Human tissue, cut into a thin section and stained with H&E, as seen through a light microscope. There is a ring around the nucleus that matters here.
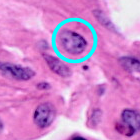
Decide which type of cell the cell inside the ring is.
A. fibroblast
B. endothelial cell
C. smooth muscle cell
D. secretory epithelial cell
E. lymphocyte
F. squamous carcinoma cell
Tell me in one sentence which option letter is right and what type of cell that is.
It is option F that is correct, the cell inside the ring being a squamous carcinoma cell.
